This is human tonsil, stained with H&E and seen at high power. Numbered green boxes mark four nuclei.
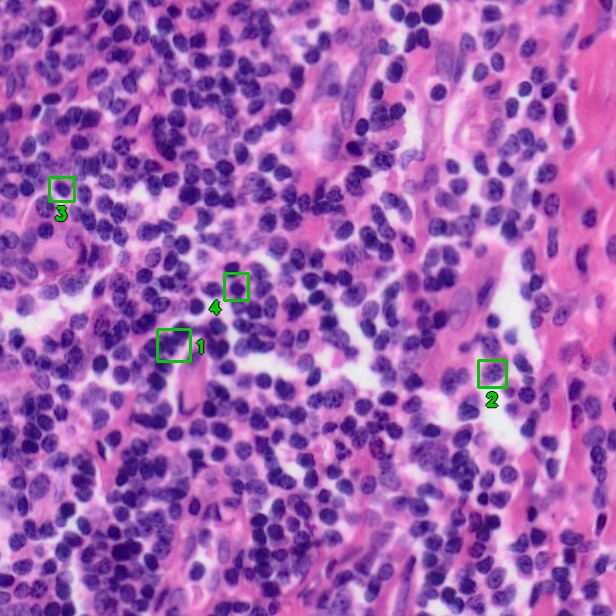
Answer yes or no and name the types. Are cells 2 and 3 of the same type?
No, hold on, cell 2 is a plasma cell and cell 3 is a small lymphocyte.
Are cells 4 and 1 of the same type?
Yes, the cell marked 4 and the cell marked 1 are both small lymphocytes.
